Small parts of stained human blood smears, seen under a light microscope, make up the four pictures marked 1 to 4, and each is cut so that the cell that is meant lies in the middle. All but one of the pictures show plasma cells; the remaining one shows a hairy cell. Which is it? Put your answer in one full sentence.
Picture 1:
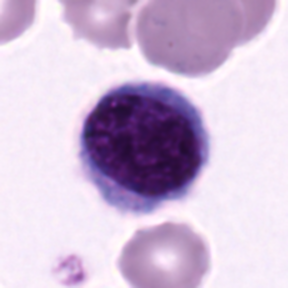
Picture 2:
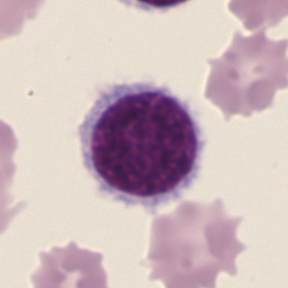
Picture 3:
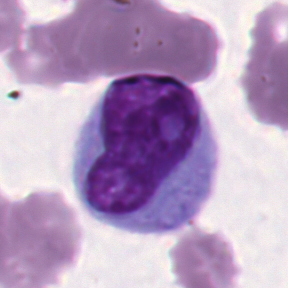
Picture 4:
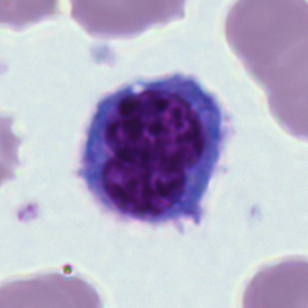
Picture 2 is the one that shows the hairy cell.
